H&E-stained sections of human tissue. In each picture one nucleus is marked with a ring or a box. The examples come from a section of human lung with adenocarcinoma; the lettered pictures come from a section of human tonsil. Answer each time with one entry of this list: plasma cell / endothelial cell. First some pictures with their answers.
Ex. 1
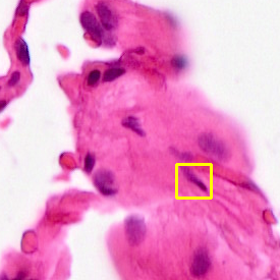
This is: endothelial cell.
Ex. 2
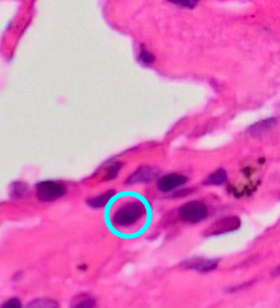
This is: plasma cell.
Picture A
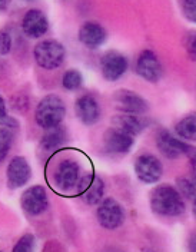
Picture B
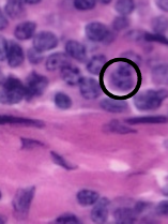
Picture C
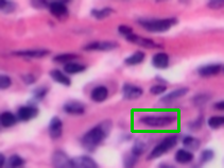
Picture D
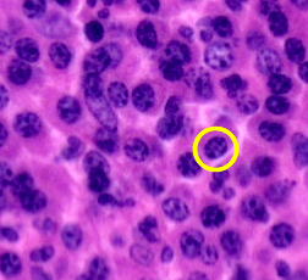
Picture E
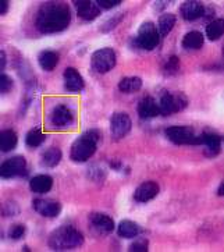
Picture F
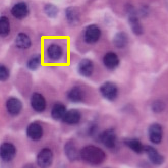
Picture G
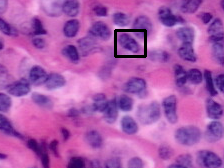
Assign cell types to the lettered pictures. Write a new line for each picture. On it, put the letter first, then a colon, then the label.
A: plasma cell.
B: plasma cell.
C: endothelial cell.
D: plasma cell.
E: plasma cell.
F: plasma cell.
G: plasma cell.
